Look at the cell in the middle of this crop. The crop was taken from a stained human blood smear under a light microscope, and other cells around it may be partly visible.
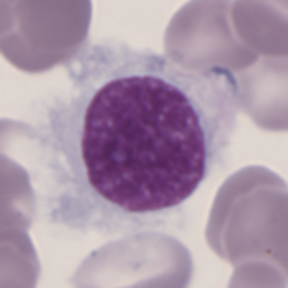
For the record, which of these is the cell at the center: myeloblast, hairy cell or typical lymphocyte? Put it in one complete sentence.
The center cell of this crop is a hairy cell.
